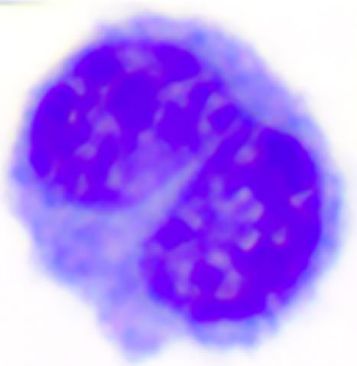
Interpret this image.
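The nucleus is split by a deep cleft into two large rounded lobes that lie side by side. The chromatin is dark purple and coarsely clumped, with paler spaces between the clumps. A band of pale blue-grey cytoplasm surrounds the nucleus, thicker at the lower end where the cell outline is irregular. The cell border is faintly ruffled rather than smooth.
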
